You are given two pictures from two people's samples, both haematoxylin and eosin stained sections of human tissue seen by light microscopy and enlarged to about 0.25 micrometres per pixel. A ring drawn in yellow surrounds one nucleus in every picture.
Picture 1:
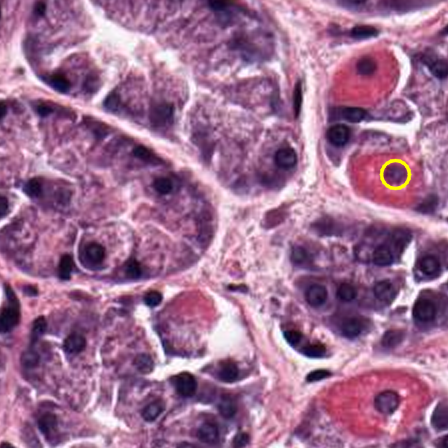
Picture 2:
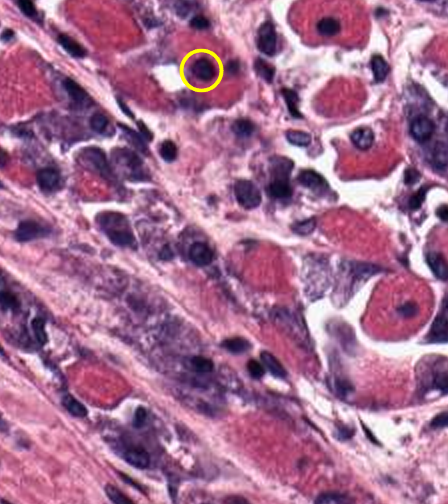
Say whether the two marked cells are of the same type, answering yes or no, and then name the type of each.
Yes, both are parietal cells.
